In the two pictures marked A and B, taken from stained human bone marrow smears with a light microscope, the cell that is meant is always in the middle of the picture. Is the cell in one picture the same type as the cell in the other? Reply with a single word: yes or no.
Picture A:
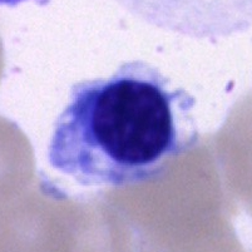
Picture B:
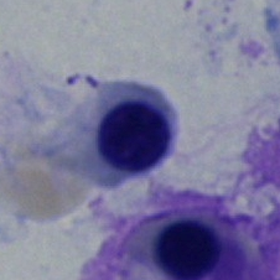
yes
